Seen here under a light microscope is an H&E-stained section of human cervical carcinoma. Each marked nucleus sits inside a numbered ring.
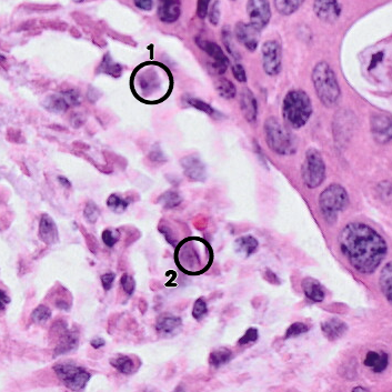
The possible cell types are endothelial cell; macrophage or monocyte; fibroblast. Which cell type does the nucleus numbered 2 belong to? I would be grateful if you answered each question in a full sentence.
Numbered cell 2 is an endothelial cell in this tissue section.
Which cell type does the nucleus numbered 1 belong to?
The marked cell with the number 1 is recognised as a fibroblast.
